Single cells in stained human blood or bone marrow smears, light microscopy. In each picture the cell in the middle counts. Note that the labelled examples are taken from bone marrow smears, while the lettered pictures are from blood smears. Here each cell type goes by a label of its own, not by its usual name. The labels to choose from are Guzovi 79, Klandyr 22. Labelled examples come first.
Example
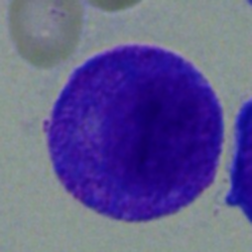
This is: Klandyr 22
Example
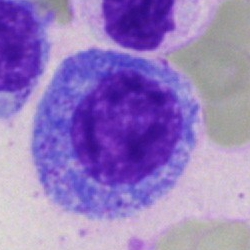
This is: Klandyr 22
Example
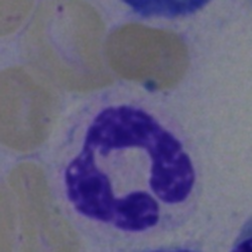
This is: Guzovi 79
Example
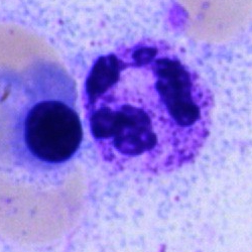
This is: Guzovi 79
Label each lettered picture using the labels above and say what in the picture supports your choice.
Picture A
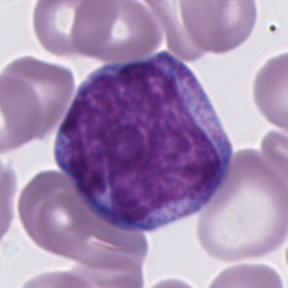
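Klandyr 22: The cytoplasm is blue.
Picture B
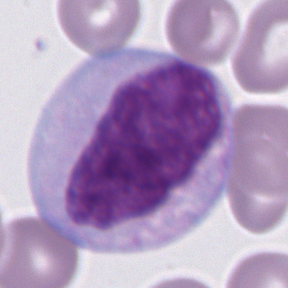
Klandyr 22: The nucleus is a single unlobed mass.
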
